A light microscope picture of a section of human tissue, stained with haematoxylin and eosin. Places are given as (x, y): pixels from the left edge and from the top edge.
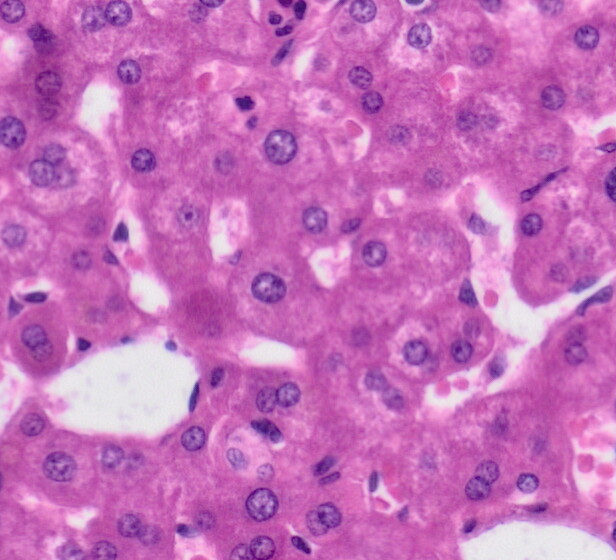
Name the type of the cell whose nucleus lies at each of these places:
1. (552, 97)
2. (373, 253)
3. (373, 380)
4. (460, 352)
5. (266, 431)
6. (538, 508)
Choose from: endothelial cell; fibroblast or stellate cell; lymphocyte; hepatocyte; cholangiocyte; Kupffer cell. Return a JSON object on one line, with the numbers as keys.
{"1": "hepatocyte", "2": "hepatocyte", "3": "hepatocyte", "4": "hepatocyte", "5": "fibroblast or stellate cell", "6": "fibroblast or stellate cell"}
